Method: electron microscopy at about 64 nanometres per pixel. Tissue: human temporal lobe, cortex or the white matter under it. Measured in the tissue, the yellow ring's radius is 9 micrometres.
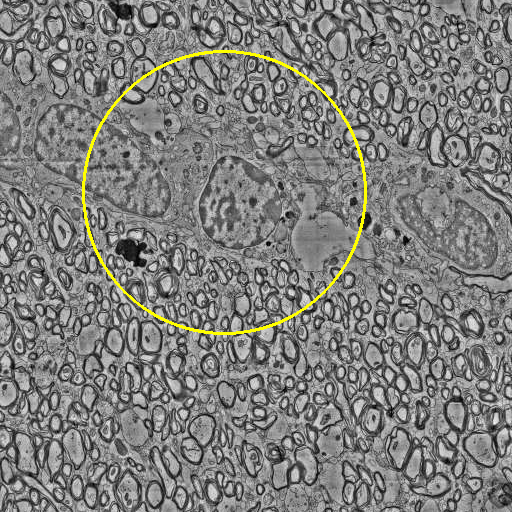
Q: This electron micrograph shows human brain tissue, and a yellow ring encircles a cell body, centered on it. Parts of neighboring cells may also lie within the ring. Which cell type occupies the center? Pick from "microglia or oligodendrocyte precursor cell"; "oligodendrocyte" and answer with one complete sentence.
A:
What sits at the ring's center in this micrograph is a microglial cell or oligodendrocyte precursor cell, among those choices.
